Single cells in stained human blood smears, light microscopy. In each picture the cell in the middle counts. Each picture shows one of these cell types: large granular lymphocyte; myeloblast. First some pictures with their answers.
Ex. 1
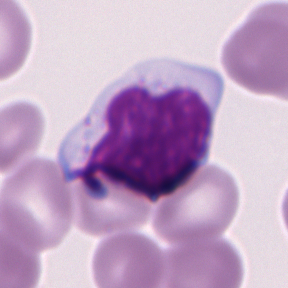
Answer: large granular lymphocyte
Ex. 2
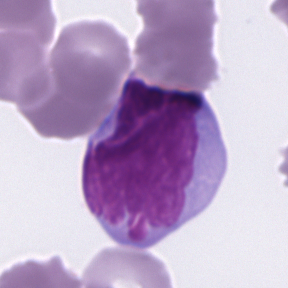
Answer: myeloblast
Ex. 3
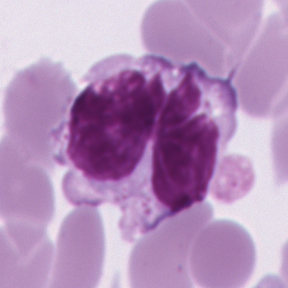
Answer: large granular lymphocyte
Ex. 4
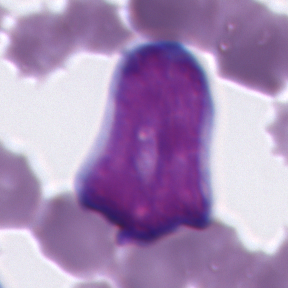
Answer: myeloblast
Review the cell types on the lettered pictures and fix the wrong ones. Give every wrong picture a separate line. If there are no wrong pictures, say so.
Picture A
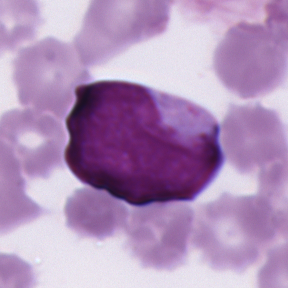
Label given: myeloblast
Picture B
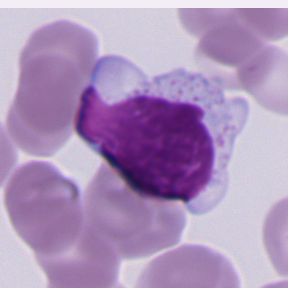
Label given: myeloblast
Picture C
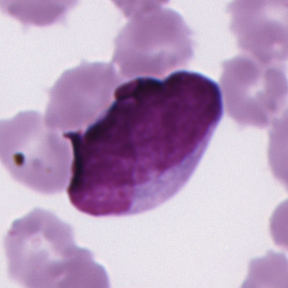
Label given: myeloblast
B: not myeloblast but large granular lymphocyte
